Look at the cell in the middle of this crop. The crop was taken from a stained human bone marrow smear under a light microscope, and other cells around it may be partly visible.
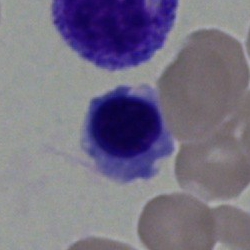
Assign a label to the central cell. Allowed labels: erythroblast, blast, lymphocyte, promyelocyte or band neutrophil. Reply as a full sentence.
By type, the central cell of the crop is an erythroblast.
